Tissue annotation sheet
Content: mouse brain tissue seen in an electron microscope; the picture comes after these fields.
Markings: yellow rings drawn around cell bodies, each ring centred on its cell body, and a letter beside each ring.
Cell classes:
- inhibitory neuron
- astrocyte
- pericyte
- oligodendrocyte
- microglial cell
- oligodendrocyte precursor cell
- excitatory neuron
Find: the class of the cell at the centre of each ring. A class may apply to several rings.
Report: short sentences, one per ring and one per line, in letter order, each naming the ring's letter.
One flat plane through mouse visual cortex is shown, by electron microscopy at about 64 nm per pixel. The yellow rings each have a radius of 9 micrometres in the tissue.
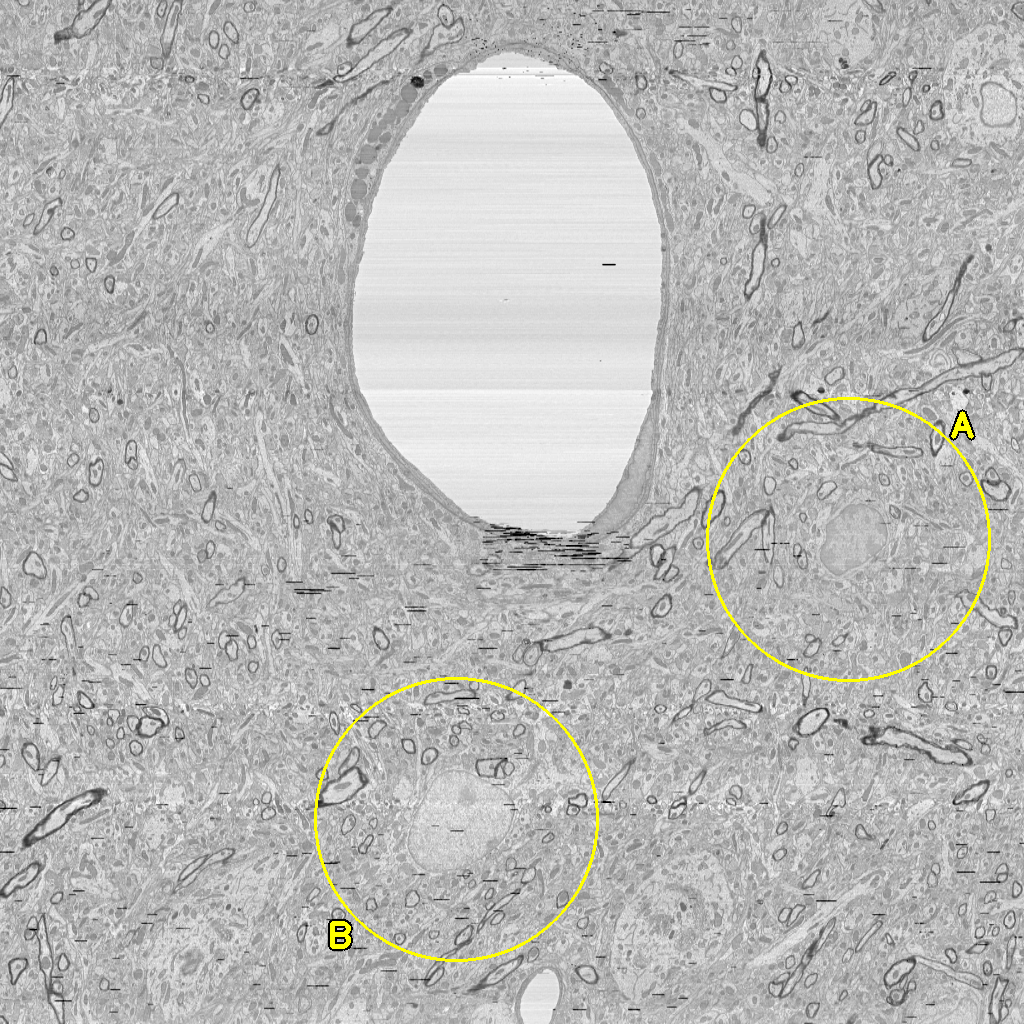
Ring A holds a microglial cell at its centre.
Ring B holds an astrocyte at its centre.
